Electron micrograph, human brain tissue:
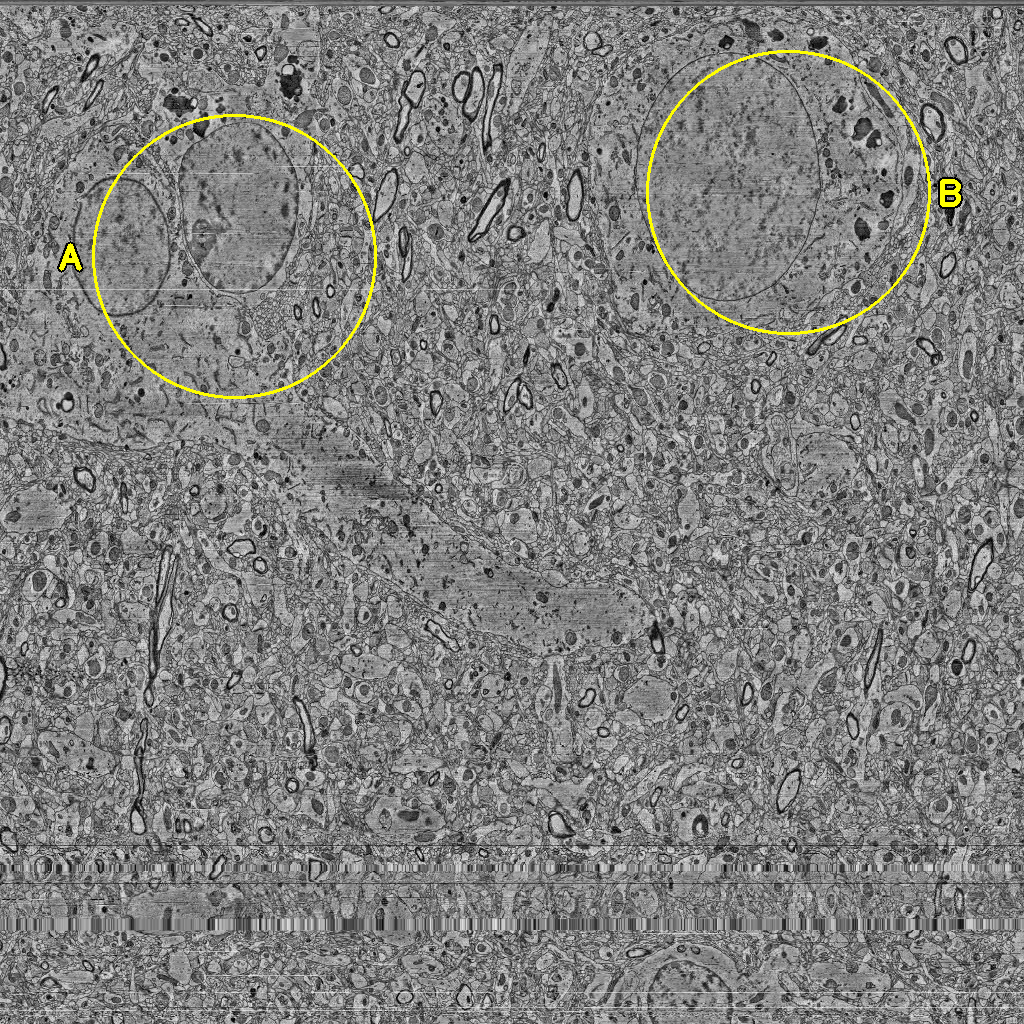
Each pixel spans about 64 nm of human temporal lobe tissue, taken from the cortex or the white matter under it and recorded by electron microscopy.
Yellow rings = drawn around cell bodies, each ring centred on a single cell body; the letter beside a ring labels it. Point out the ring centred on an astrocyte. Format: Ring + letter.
Ring A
